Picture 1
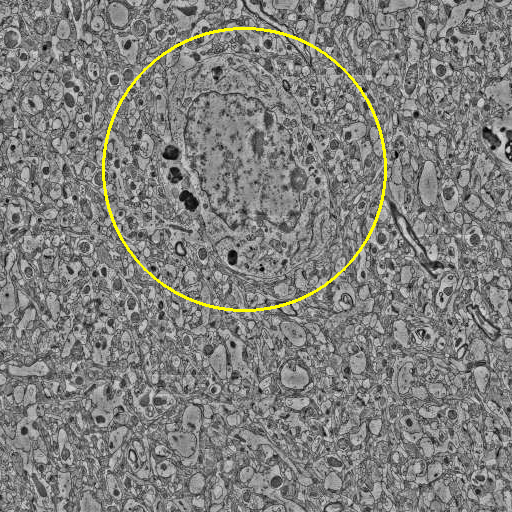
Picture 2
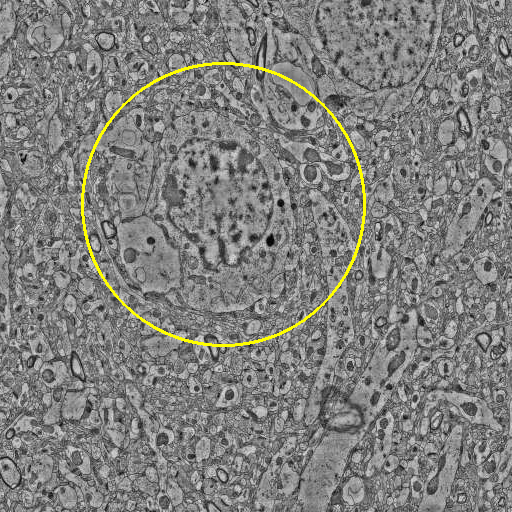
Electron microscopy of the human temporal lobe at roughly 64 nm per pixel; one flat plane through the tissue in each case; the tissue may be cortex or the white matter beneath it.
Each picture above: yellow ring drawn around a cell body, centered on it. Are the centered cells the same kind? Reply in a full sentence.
Yes, the two cells are the same kind.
